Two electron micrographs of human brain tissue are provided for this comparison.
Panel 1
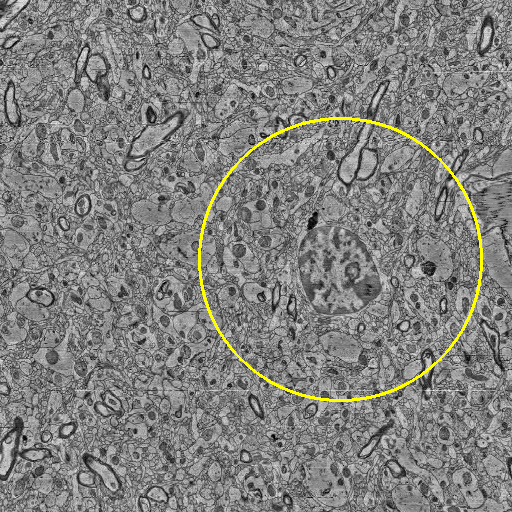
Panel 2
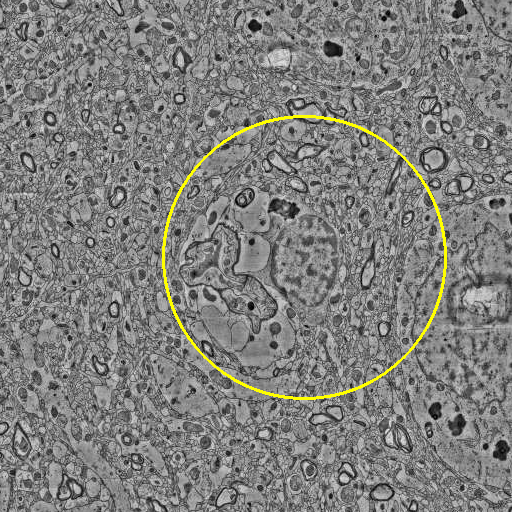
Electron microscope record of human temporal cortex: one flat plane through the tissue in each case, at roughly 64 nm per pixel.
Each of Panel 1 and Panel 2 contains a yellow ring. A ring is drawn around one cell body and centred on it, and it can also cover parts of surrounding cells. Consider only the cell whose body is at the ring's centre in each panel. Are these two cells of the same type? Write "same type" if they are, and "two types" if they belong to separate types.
two types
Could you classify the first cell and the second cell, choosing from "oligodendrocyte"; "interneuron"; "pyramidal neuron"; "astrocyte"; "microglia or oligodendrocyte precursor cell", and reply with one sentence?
The second cell is an oligodendrocyte, while the first is a microglial cell or oligodendrocyte precursor cell.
